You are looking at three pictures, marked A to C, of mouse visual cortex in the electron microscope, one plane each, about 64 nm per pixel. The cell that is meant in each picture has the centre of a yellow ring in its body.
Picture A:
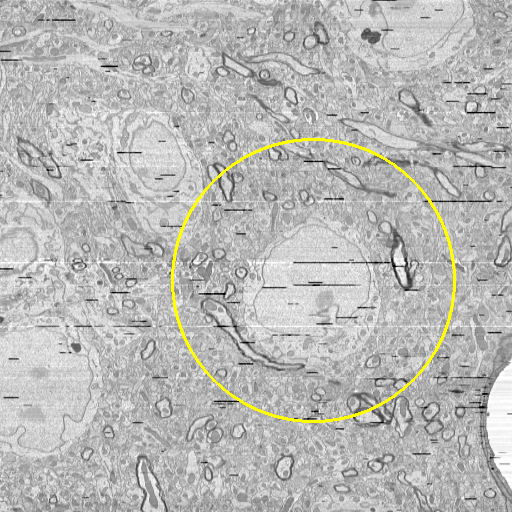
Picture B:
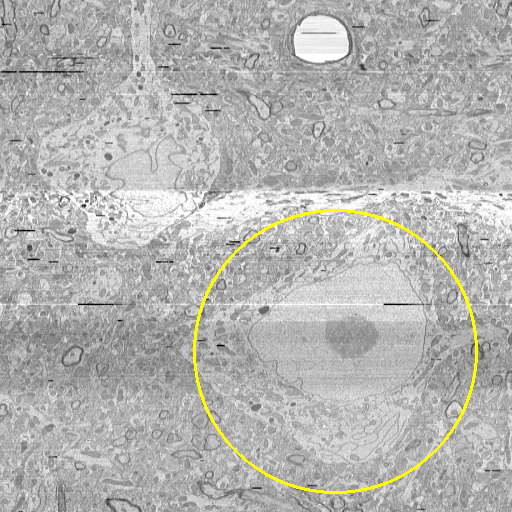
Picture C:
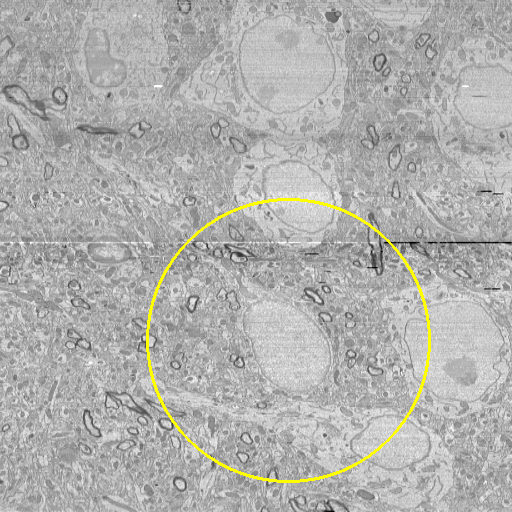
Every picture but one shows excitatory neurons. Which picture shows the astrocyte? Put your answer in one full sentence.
Picture C is the one that shows the astrocyte.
